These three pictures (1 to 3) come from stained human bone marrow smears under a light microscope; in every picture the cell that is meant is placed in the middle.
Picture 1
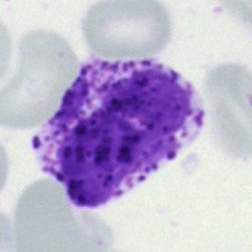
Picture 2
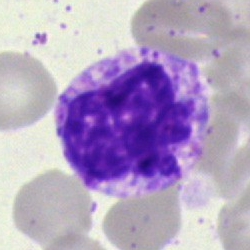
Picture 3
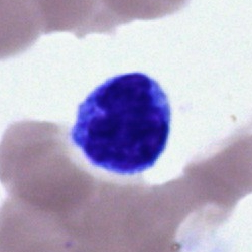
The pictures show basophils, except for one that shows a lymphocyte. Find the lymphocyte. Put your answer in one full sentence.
Picture 3 is the one that shows the lymphocyte.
